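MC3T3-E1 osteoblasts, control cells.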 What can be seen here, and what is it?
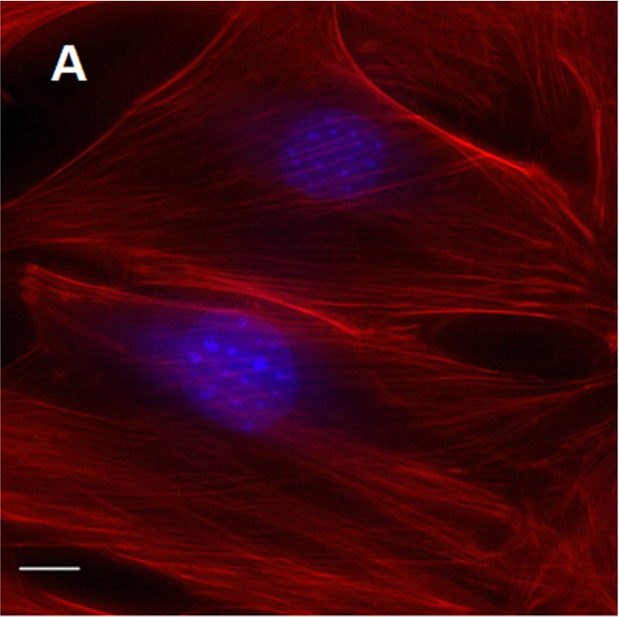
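Long, straight stress fibers run in parallel bundles along the length of each cell, with thicker bright bundles tracing the cell margins. Each cell has a single oval nucleus in blue with small brighter spots inside, lying roughly in the middle of the cell body.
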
